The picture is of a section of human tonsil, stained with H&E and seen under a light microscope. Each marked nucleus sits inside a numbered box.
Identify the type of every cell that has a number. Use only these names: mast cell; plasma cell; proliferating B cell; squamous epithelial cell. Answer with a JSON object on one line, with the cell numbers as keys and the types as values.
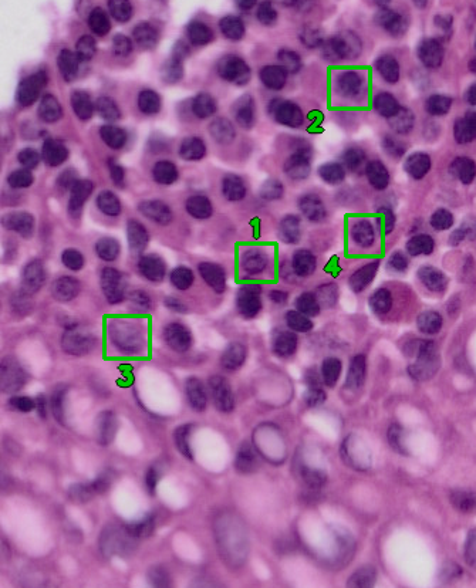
{"1": "plasma cell", "2": "plasma cell", "3": "squamous epithelial cell", "4": "plasma cell"}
